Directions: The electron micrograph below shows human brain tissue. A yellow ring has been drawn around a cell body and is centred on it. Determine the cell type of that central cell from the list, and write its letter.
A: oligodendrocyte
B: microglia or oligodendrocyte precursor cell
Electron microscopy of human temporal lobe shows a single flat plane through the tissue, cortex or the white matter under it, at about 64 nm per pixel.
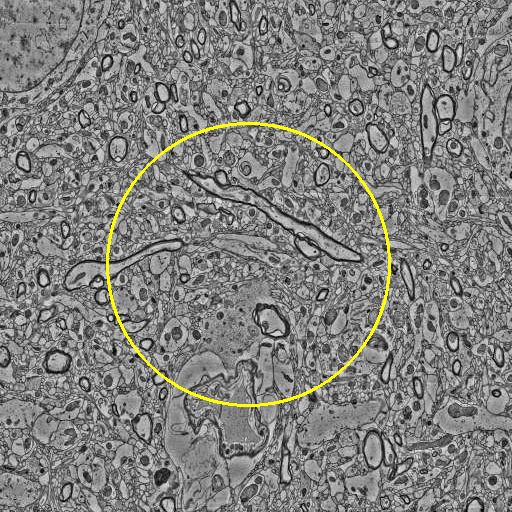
A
